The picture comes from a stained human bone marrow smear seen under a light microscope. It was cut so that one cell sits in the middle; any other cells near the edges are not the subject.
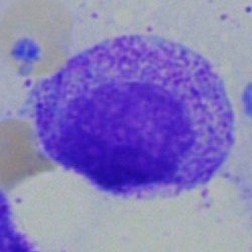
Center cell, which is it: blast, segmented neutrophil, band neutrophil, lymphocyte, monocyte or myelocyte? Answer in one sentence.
The cell at the central position in this crop is a myelocyte.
